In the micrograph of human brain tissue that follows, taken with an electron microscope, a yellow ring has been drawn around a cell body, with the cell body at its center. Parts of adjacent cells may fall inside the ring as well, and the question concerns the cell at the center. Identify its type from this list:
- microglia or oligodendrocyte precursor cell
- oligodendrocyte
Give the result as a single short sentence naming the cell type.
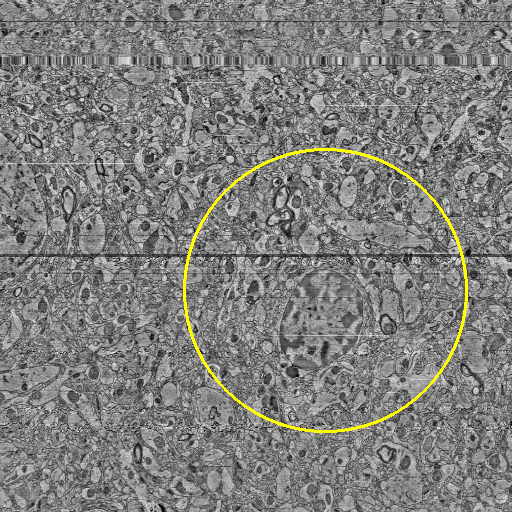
The ring is centered on a microglial cell or oligodendrocyte precursor cell.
